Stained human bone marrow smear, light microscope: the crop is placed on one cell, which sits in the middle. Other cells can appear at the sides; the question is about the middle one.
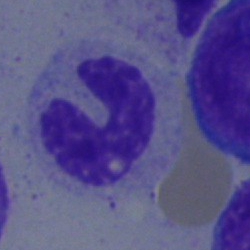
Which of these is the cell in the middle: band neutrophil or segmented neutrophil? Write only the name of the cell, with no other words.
band neutrophil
